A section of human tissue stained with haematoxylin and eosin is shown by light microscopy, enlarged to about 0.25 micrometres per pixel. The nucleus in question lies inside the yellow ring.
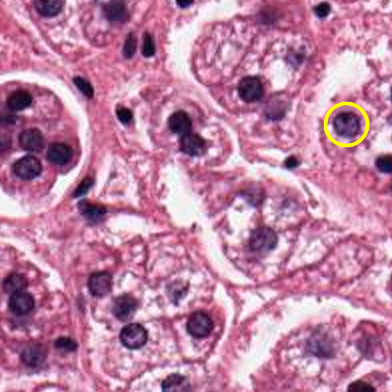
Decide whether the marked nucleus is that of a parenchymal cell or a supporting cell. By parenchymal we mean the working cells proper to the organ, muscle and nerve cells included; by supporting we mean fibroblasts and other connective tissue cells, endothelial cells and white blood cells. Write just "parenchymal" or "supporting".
parenchymal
